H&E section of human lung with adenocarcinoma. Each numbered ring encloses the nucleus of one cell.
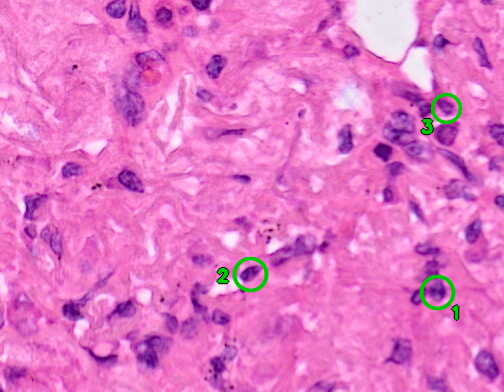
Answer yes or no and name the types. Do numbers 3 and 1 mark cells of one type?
No, as for cell 3, it is a plasma cell, and cell 1 is a lymphocyte.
